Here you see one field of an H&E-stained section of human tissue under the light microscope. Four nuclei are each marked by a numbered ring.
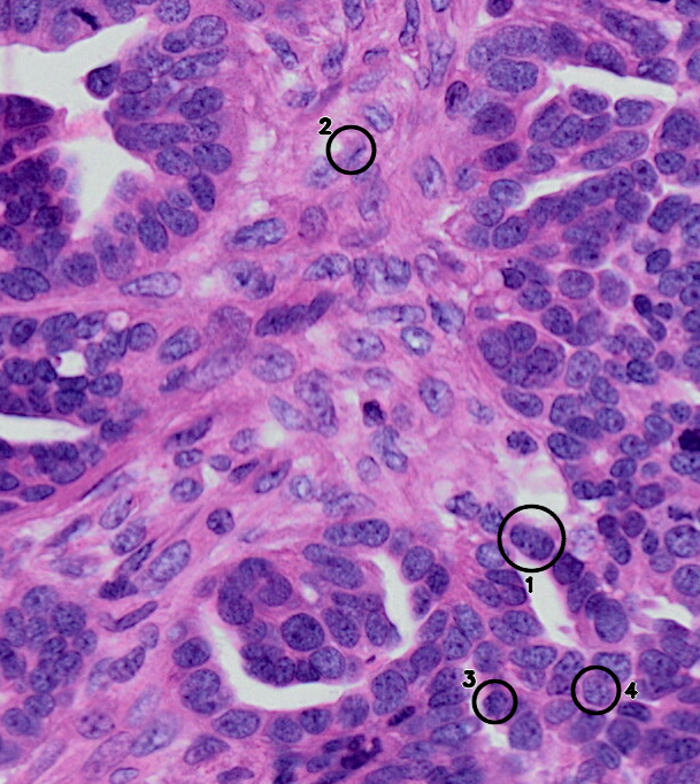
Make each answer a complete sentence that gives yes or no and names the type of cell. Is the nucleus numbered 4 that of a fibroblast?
No, the cell bearing the number 4 is a carcinoma cell, not a fibroblast.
